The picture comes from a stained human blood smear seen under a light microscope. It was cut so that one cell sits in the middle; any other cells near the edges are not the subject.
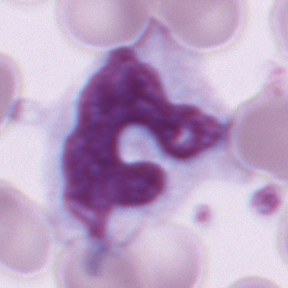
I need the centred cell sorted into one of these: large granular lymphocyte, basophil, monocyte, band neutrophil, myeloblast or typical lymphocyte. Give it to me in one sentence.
Occupying the centre of the crop is a monocyte.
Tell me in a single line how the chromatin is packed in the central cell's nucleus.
The chromatin here is fine and lacks any coarse clumps.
